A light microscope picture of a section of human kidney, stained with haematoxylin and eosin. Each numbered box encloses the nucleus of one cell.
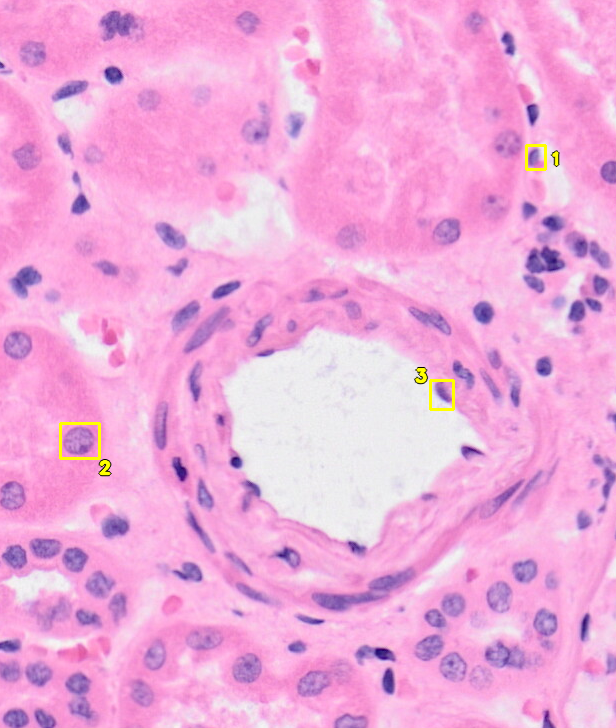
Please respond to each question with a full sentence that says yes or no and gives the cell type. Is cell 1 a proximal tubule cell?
No, the cell at number 1 is an endothelial cell instead of a proximal tubule cell.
